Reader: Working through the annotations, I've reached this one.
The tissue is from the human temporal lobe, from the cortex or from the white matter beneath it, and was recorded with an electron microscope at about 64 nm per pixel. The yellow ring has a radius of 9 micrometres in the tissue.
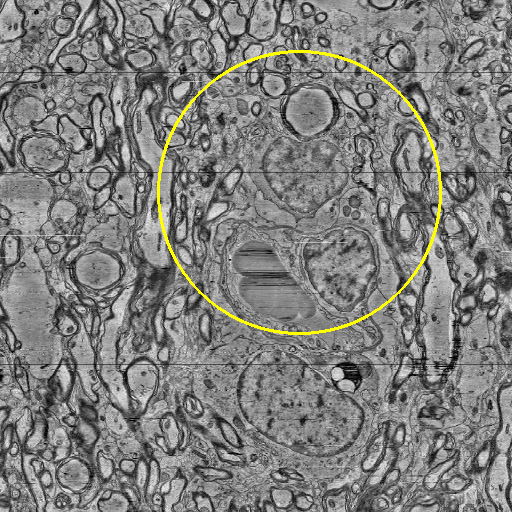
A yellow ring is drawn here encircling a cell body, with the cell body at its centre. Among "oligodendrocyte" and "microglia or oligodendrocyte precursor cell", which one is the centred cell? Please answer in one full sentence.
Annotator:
The cell body at the centre of the yellow ring in this image belongs to an oligodendrocyte.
